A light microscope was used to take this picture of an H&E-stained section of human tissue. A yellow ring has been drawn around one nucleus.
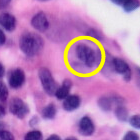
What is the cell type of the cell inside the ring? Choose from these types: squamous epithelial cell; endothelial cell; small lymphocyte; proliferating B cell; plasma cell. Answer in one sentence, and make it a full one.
Within this tissue, the cell inside the ring is an endothelial cell.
